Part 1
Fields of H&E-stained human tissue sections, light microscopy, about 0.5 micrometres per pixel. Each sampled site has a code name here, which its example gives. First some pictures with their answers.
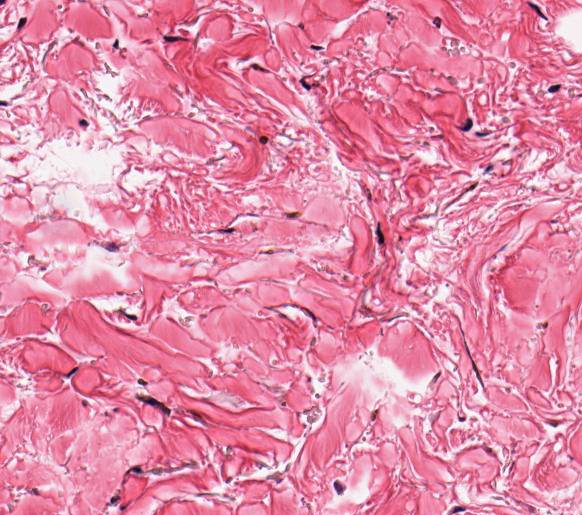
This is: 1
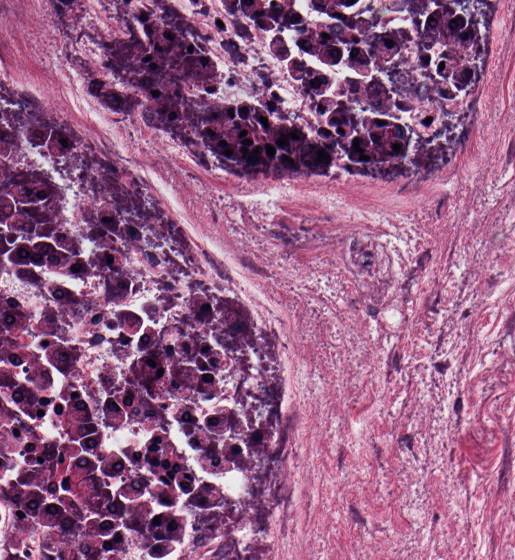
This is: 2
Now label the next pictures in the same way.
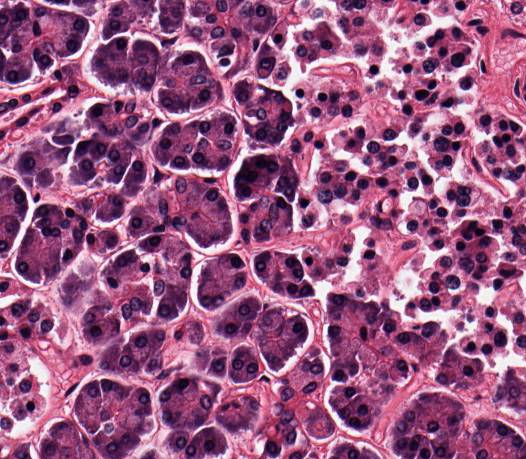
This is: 2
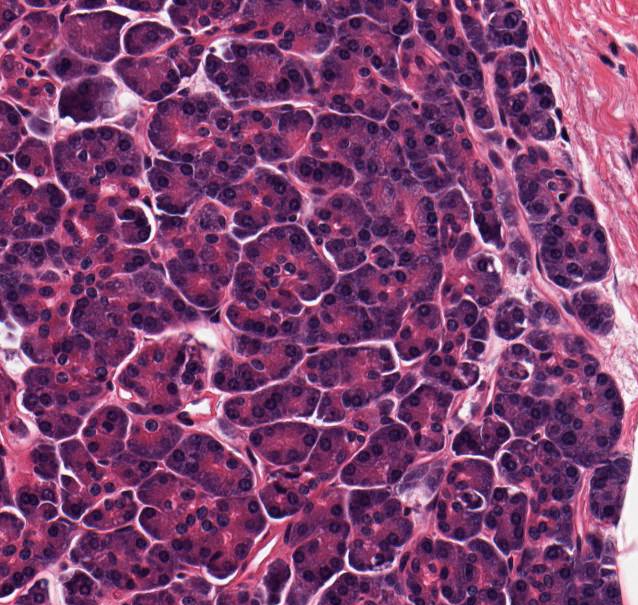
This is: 2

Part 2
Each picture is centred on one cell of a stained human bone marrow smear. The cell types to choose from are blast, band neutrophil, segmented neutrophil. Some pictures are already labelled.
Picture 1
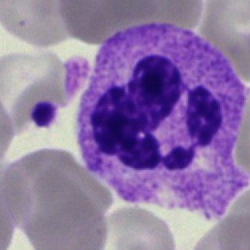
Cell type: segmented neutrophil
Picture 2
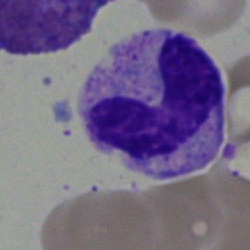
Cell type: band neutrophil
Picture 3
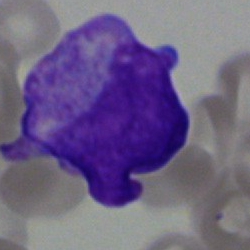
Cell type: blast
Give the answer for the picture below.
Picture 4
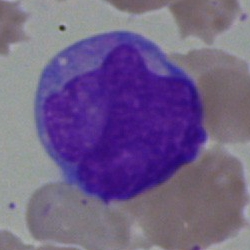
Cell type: blast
